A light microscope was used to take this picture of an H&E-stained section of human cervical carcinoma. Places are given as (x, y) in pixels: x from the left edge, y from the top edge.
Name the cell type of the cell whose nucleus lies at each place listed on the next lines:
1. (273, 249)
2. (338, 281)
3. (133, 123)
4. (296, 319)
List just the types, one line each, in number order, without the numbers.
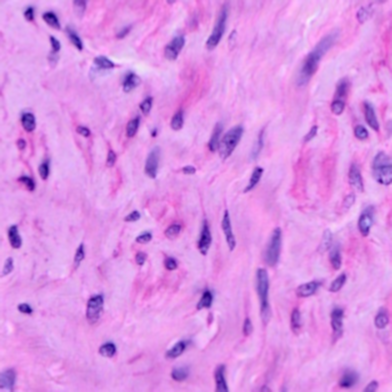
fibroblast
smooth muscle cell
smooth muscle cell
smooth muscle cell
